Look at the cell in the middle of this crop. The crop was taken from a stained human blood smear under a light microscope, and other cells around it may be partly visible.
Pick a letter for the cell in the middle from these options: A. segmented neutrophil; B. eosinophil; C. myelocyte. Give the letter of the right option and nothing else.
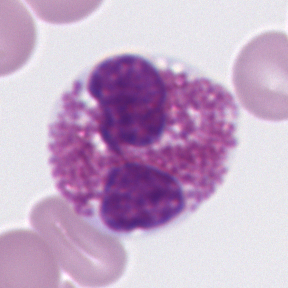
B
